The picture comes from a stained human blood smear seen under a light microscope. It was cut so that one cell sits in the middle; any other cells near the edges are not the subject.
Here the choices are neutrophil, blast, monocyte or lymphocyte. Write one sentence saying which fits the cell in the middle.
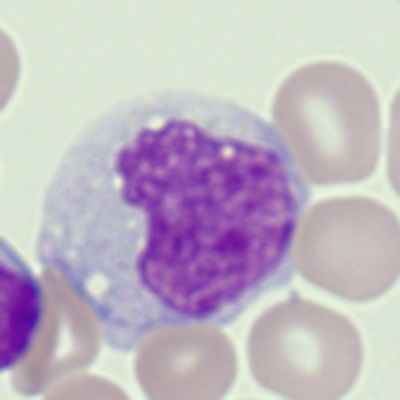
The crop's centre is taken up by a monocyte.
